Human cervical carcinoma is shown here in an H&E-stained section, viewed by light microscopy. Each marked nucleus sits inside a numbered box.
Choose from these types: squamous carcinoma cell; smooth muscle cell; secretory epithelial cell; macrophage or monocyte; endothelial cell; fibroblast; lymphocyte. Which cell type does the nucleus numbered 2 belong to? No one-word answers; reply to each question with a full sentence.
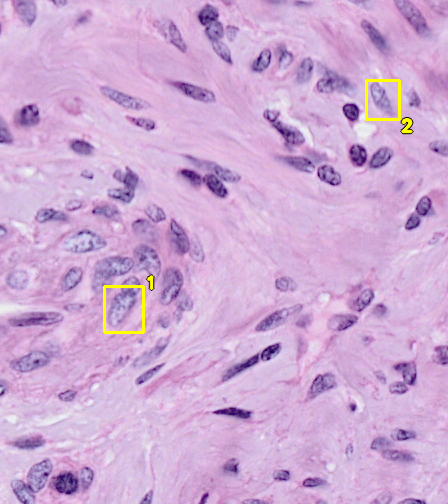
The cell numbered 2 represents a fibroblast.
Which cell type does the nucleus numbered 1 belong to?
The correct label for cell 1 is a smooth muscle cell.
